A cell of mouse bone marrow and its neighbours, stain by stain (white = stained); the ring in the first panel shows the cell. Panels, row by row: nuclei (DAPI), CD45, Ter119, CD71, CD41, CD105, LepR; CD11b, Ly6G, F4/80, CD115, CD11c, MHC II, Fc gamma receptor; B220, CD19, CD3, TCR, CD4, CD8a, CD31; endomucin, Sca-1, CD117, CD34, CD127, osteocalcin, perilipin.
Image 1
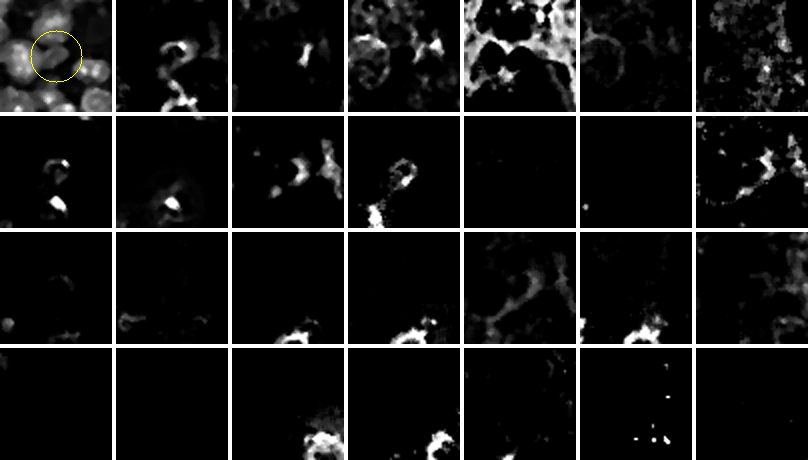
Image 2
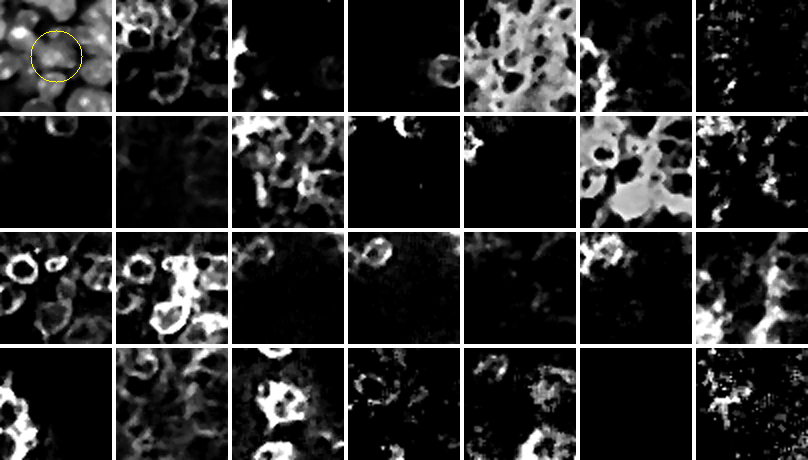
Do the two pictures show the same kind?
No: a monocyte, then a megakaryocyte progenitor.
